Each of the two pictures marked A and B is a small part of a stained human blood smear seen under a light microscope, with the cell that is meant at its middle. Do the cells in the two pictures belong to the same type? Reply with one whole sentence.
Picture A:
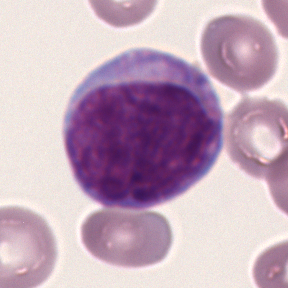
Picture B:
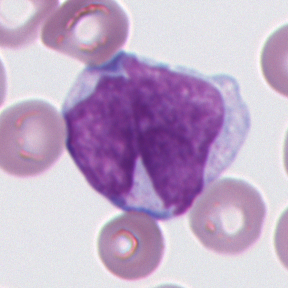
Yes, the two pictures both show atypical promyelocytes.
